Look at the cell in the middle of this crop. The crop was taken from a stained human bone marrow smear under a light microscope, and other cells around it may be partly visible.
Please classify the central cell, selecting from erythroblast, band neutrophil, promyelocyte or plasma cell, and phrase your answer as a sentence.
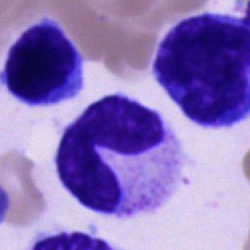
The cell the crop is centered on is a band neutrophil.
